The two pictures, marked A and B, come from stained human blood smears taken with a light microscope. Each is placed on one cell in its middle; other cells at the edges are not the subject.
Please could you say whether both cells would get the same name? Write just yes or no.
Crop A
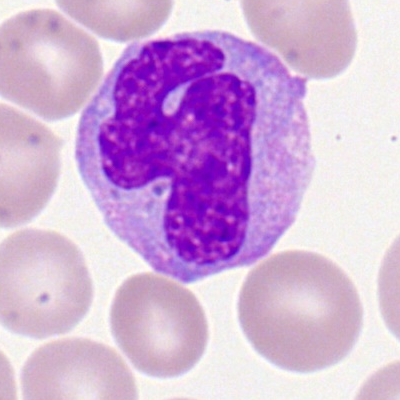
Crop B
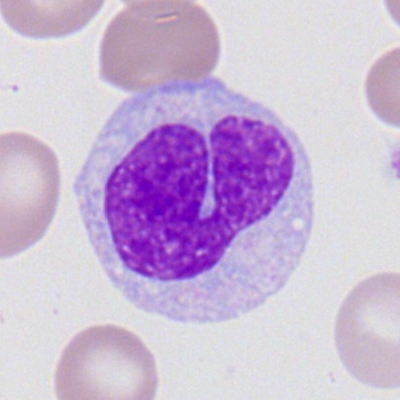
yes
